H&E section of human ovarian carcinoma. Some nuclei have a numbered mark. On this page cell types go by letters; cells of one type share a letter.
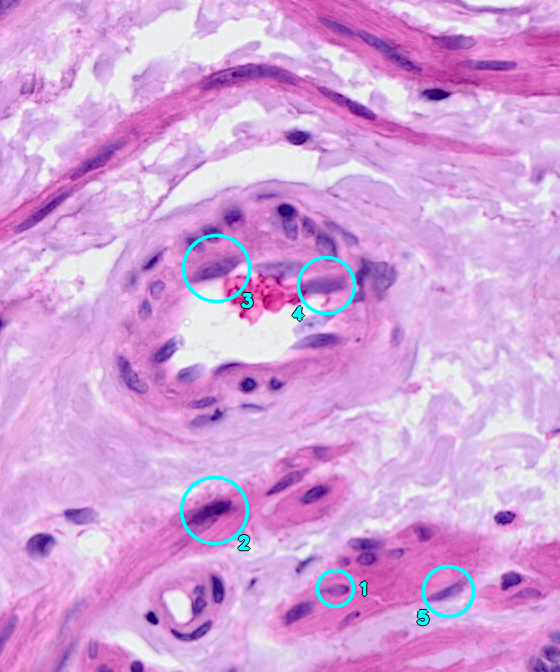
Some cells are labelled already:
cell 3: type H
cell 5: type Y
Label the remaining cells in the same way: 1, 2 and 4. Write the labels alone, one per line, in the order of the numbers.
type Y
type Y
type H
